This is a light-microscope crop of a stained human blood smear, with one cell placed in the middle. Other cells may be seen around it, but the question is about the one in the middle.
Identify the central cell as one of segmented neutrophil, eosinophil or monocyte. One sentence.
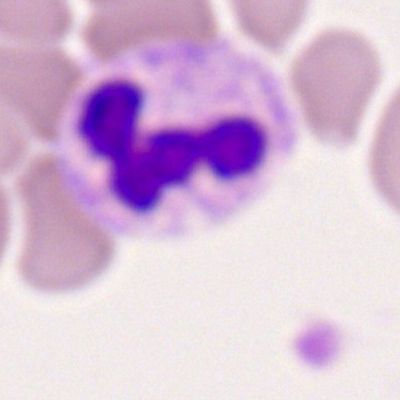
The cell of interest, located centrally, is a segmented neutrophil.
